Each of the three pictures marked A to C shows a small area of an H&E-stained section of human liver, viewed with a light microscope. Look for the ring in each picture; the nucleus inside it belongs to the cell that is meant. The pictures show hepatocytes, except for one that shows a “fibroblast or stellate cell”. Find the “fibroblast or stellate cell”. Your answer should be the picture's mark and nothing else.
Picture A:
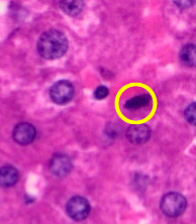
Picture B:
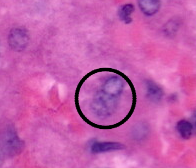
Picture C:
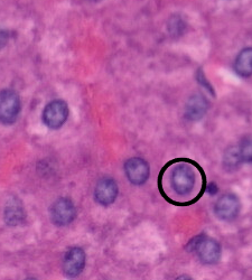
A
